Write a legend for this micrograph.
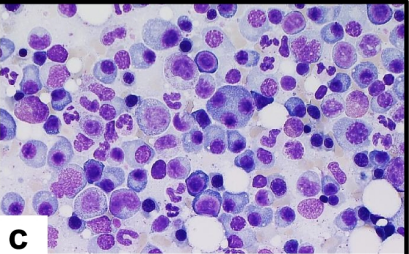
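This bone marrow preparation is crowded with plasma cells, large round to oval cells with a nucleus pushed to one side and plentiful blue-purple cytoplasm. Many are bigger than normal plasma cells, and some carry two nuclei or show coarse chromatin.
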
